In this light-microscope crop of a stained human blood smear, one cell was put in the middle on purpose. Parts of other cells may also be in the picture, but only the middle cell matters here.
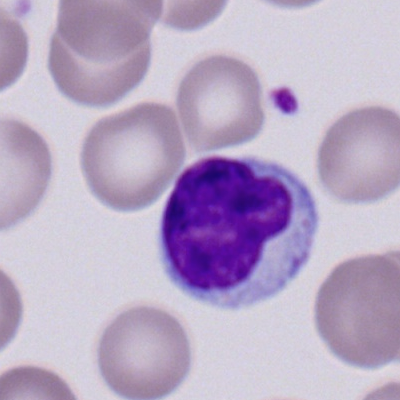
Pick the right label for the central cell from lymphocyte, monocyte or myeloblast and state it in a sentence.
In this crop, the cell at the very middle is a lymphocyte.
